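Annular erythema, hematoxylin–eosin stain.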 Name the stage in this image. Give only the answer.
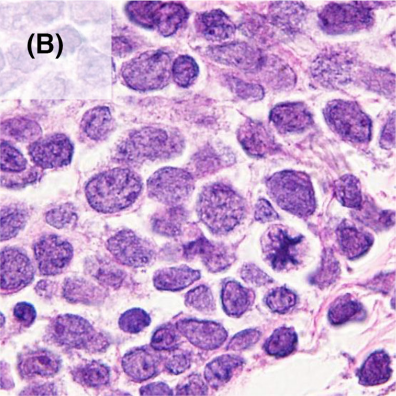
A: Mitotic cells.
